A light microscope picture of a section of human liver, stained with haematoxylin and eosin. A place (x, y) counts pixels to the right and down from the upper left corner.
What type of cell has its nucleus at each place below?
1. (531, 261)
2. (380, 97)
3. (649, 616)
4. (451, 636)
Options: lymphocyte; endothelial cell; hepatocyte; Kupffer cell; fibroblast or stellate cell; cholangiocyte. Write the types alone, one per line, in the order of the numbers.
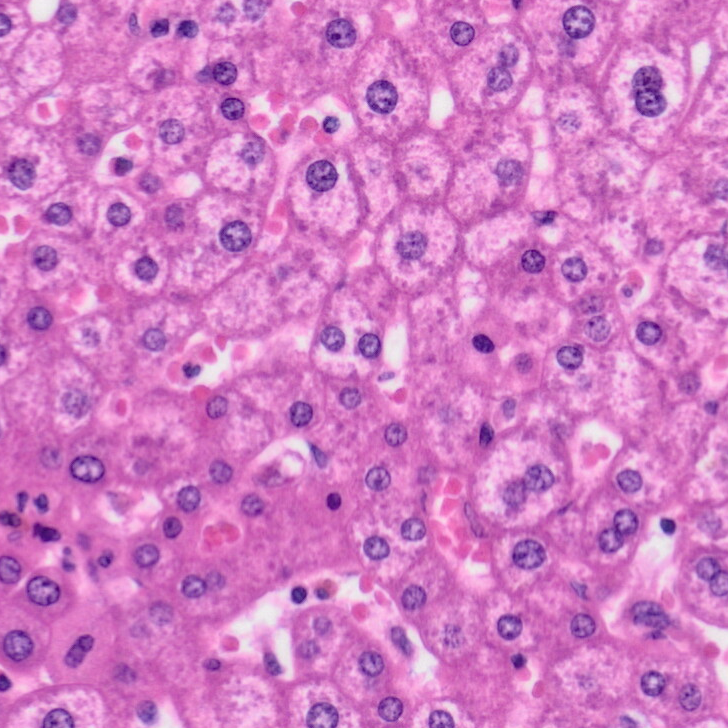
hepatocyte
hepatocyte
Kupffer cell
hepatocyte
